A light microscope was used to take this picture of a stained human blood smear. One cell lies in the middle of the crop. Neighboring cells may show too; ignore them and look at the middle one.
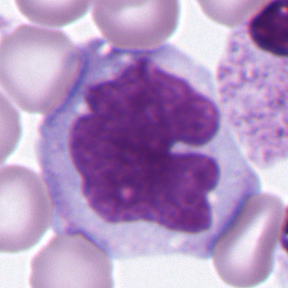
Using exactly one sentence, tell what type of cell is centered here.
At the center of the crop sits a monocyte.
